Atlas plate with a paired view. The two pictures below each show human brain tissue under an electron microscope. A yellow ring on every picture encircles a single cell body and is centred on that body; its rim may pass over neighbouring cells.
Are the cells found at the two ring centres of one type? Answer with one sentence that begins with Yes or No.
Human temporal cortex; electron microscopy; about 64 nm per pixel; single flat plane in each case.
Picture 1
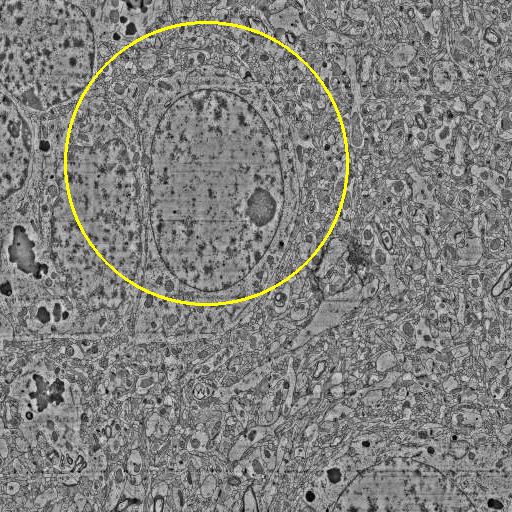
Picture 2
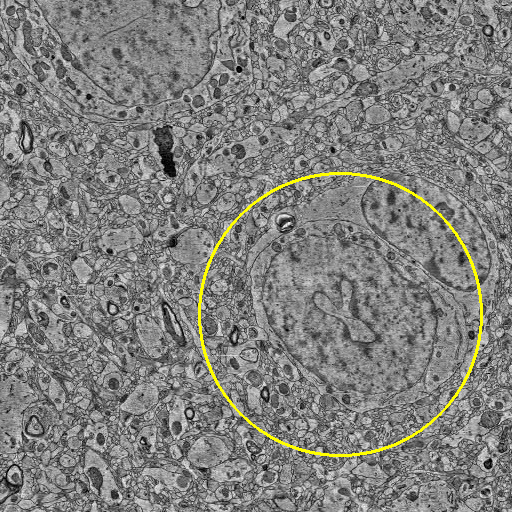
No, the two cells lying at the centres of the rings are of two types.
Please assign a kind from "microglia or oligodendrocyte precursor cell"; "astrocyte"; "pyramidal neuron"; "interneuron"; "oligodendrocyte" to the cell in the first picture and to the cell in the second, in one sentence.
In the first picture we have a pyramidal neuron, and in the second, an interneuron.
